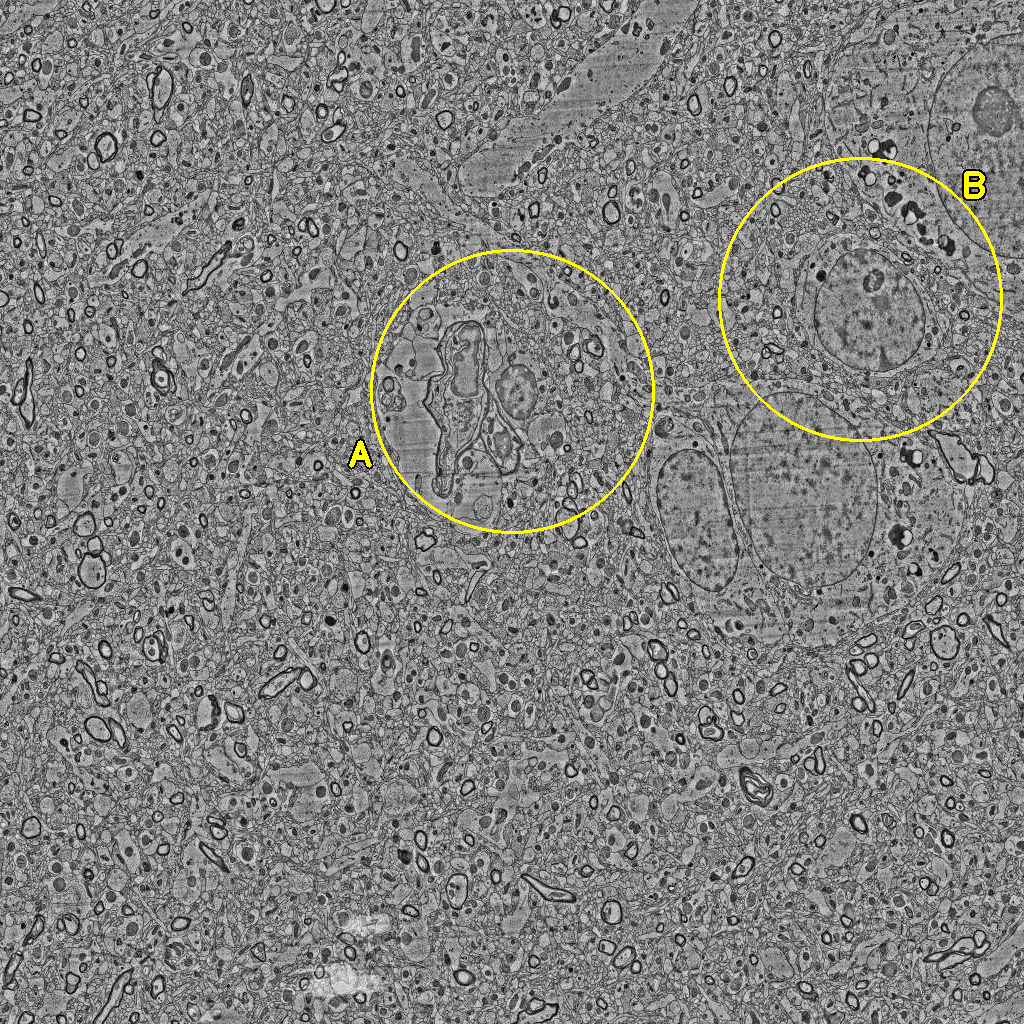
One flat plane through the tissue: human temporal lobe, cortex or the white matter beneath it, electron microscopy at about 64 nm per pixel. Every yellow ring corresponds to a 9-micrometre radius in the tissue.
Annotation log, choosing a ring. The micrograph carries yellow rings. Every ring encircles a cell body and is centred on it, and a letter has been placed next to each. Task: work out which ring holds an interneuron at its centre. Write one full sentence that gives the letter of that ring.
In the micrograph, the ring centred on the cell asked for carries the letter B.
